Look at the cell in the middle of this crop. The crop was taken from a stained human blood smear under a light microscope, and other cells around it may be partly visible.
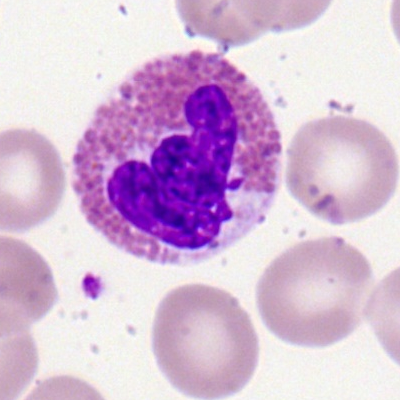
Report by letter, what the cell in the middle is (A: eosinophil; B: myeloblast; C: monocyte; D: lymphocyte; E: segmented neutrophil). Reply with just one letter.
A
